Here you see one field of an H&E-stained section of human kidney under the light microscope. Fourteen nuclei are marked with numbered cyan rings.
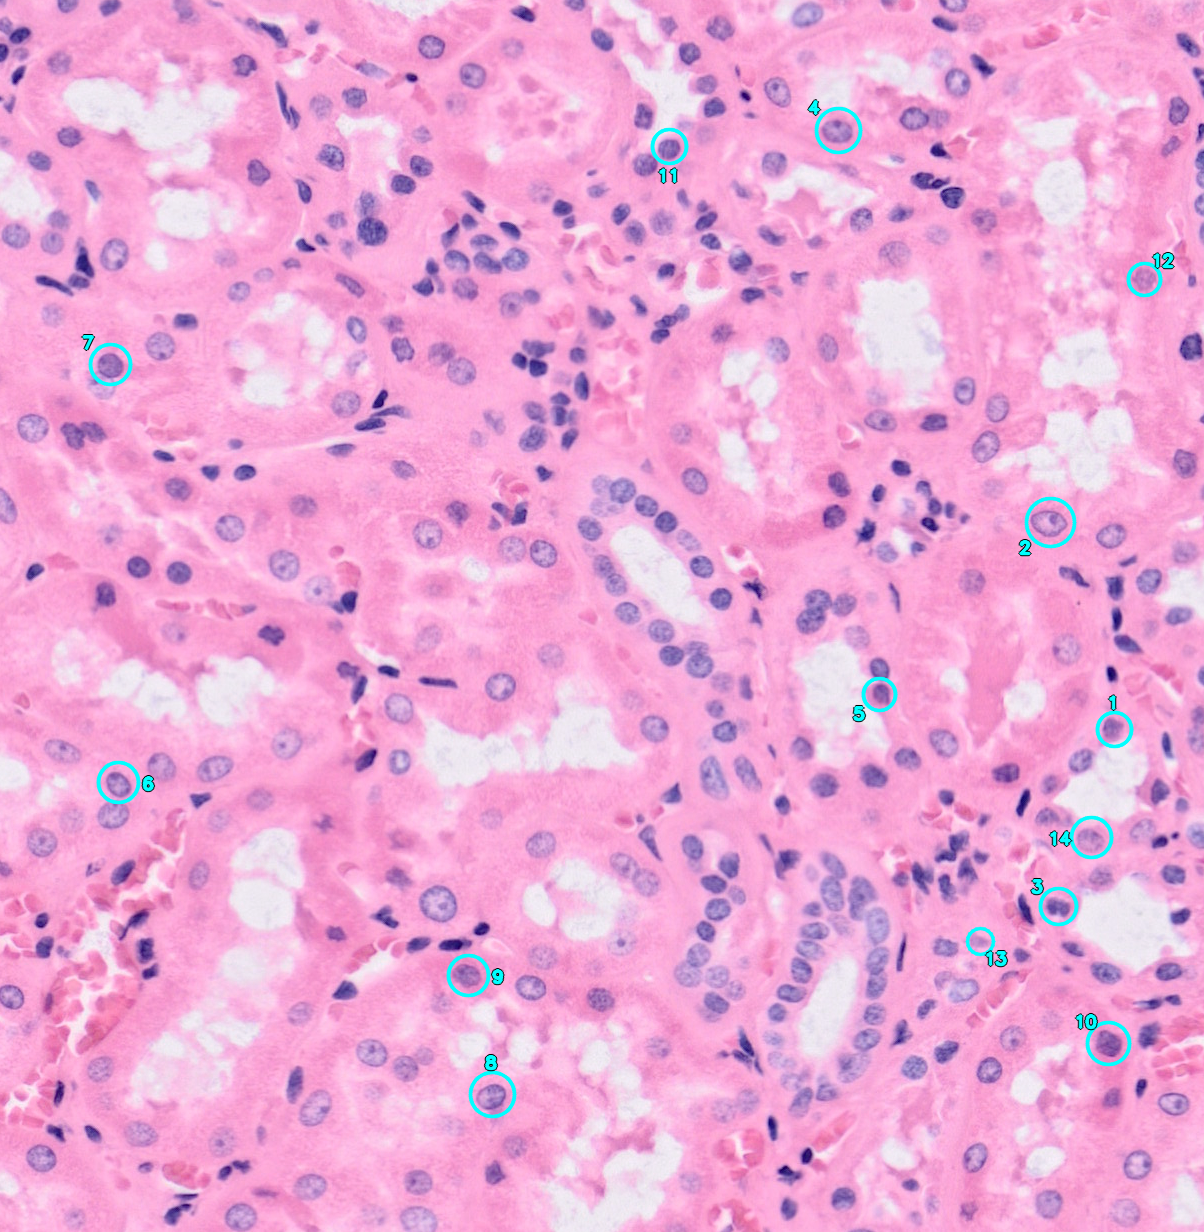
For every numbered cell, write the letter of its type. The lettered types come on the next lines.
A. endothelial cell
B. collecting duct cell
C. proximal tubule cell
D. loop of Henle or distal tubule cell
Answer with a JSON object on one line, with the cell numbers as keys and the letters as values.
{"1": "D", "2": "C", "3": "D", "4": "C", "5": "D", "6": "C", "7": "C", "8": "C", "9": "C", "10": "C", "11": "D", "12": "C", "13": "D", "14": "D"}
